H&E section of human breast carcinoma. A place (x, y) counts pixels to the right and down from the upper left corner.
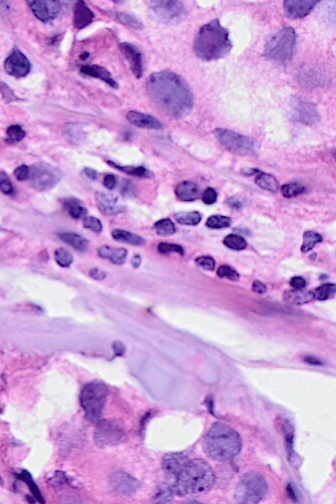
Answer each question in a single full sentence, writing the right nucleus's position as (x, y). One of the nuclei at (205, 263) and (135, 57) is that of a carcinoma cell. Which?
The nucleus of a carcinoma cell is the one at (135, 57).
